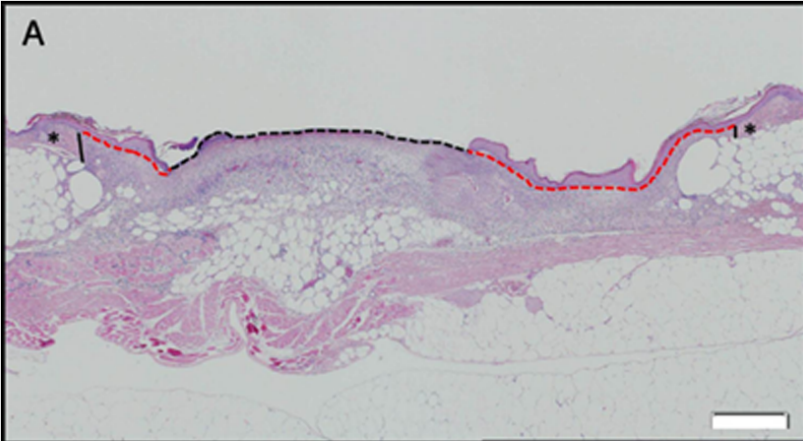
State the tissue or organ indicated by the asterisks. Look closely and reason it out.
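The asterisks sit at both far ends of the section, outside the wound. There the skin has an intact surface layer over fat.
Hence: native, non-affected dermal tissue.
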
